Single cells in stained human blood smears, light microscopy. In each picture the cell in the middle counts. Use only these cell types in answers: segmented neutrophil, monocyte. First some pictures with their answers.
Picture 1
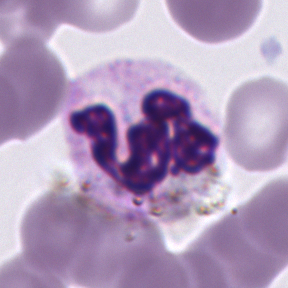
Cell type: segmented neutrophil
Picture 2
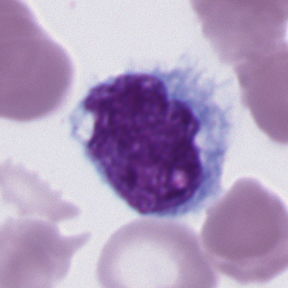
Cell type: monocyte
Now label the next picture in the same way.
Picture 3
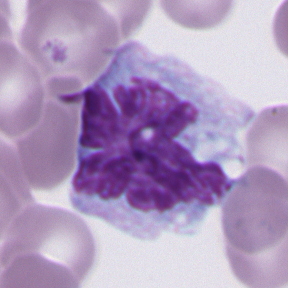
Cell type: monocyte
